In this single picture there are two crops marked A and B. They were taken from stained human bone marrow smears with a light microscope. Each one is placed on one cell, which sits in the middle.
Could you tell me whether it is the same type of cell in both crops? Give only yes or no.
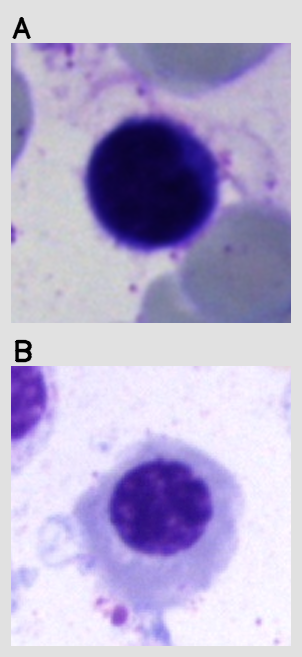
no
